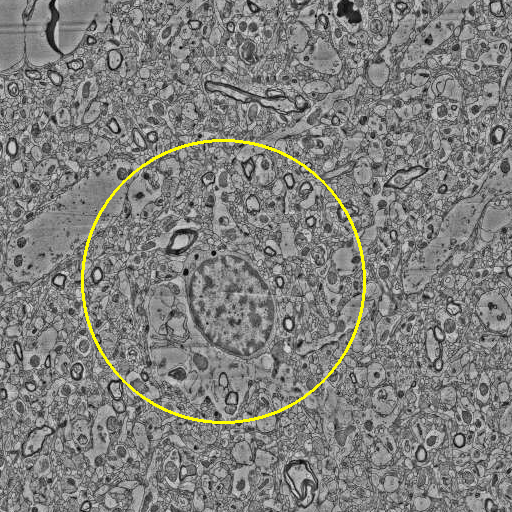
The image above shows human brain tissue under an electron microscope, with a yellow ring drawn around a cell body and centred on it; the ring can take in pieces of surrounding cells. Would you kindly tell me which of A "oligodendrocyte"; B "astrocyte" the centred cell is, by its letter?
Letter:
A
